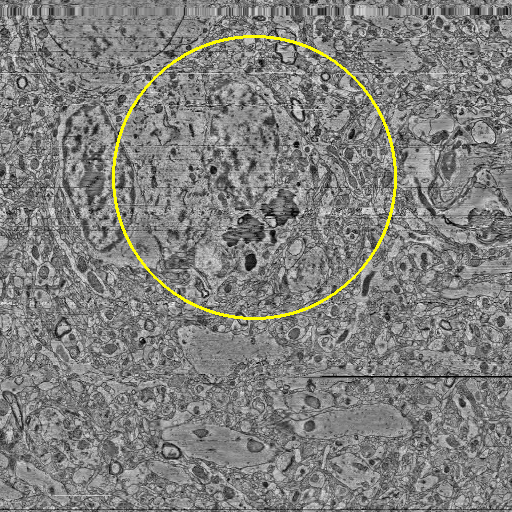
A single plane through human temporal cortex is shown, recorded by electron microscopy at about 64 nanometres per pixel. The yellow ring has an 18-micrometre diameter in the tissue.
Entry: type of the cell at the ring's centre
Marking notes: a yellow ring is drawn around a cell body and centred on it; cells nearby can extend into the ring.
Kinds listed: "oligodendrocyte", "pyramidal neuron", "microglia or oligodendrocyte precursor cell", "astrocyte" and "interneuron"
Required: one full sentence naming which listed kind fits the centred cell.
My entry names an interneuron as the cell whose body the yellow ring centres on.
